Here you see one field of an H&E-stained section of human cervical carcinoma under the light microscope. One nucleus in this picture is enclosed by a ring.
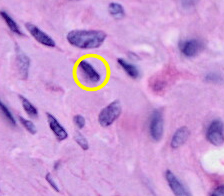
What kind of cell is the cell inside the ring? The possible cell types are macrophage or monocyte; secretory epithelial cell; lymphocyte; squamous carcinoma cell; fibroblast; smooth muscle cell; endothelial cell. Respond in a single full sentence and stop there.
With respect to cell type, the cell inside the ring is a fibroblast.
